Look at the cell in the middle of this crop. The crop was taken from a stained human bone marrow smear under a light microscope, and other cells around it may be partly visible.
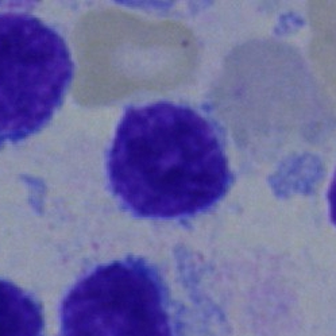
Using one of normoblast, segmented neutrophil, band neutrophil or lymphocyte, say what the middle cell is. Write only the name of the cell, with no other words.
lymphocyte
